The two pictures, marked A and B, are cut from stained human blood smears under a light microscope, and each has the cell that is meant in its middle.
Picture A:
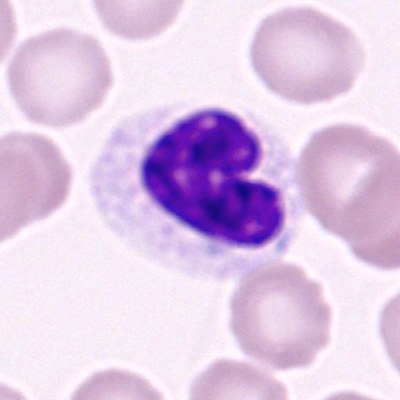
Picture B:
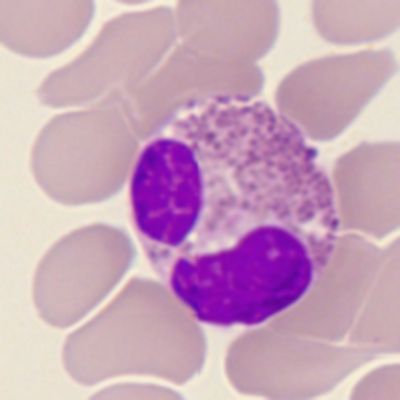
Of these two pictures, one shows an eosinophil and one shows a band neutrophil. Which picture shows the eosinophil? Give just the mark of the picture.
B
